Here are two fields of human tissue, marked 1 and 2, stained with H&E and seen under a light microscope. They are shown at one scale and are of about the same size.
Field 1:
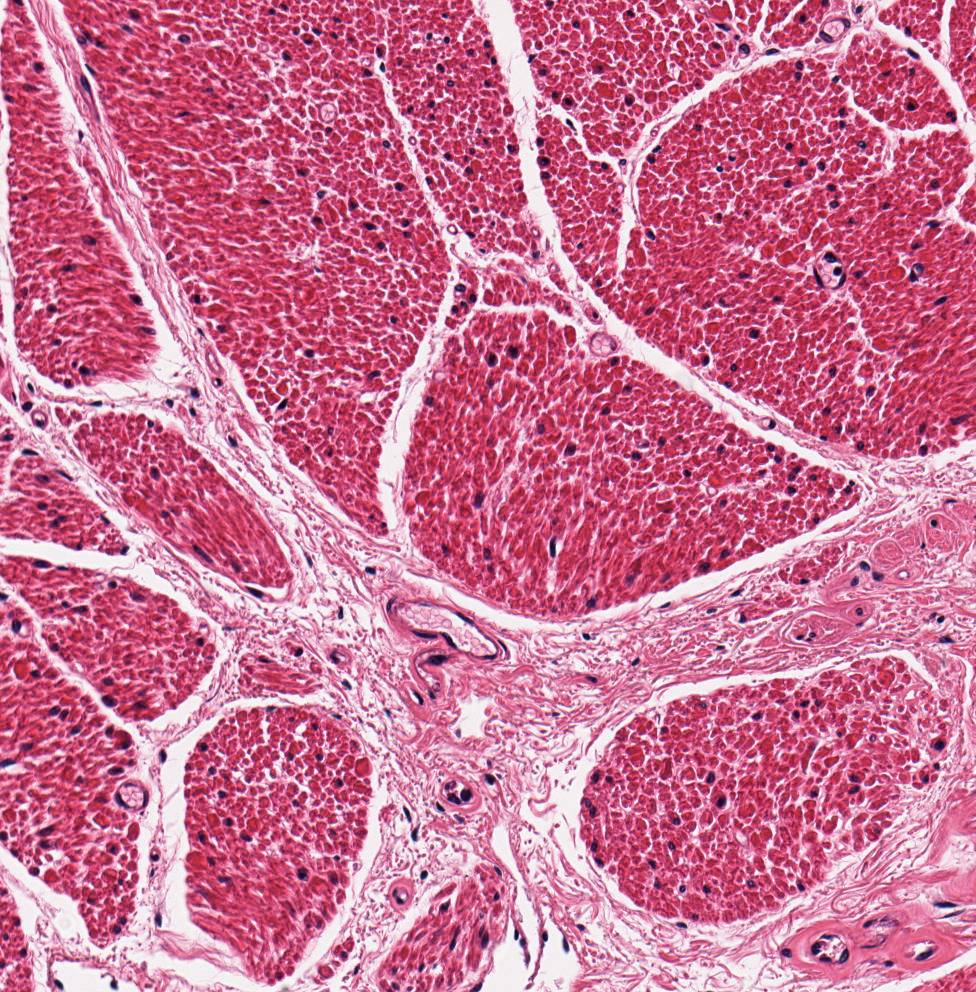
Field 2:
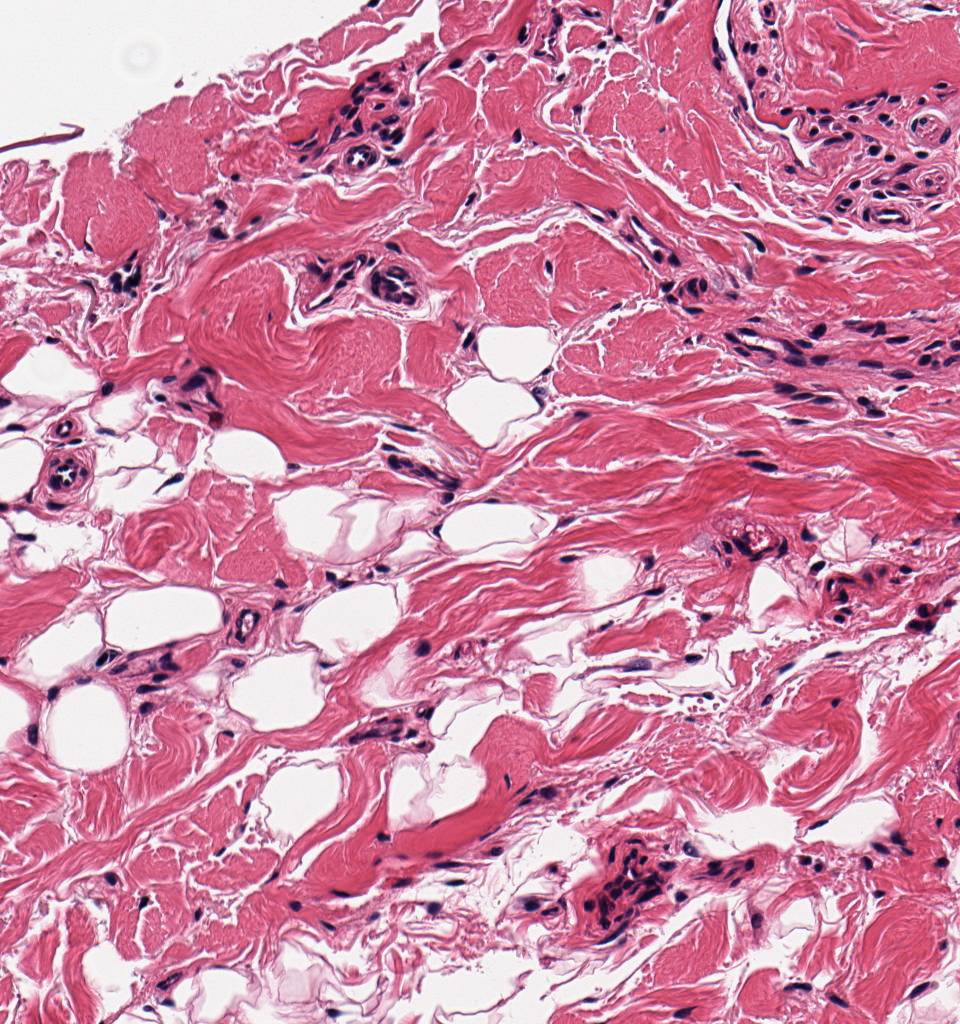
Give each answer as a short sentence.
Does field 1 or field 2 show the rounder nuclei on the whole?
The nuclei are rounder in field 1.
